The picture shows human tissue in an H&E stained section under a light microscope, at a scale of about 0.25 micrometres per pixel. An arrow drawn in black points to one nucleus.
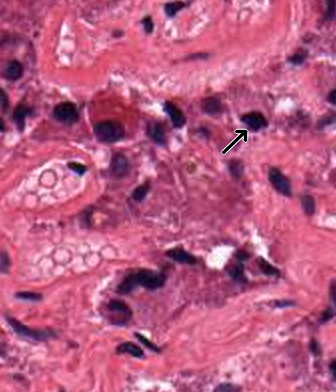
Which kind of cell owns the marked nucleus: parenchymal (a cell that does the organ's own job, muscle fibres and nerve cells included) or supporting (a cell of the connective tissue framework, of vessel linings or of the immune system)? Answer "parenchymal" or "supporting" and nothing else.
parenchymal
